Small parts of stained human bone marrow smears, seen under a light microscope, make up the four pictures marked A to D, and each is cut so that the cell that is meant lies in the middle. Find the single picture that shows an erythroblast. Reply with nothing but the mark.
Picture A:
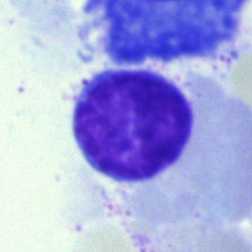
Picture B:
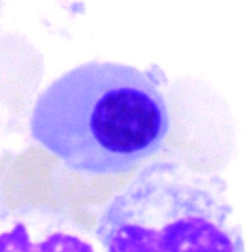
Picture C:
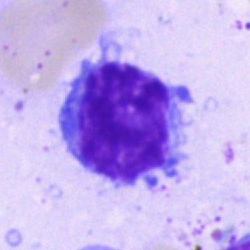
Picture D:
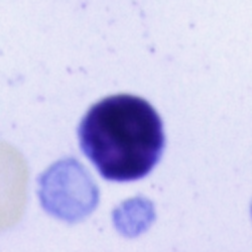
B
